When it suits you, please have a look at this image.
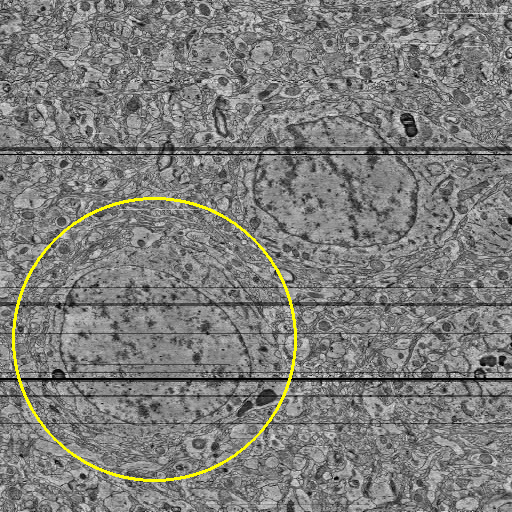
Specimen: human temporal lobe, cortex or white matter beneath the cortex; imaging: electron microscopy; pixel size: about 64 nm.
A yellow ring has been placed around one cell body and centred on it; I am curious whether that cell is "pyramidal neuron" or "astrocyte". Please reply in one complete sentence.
The ringed cell, a pyramidal neuron, has its body at the centre of the yellow ring.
